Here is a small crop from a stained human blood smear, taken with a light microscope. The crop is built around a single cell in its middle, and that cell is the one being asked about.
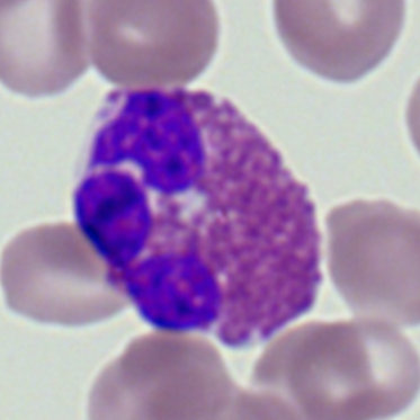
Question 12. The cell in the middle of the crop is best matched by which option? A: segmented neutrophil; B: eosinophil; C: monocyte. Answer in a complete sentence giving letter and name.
The correct option is B, as the central cell is an eosinophil.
